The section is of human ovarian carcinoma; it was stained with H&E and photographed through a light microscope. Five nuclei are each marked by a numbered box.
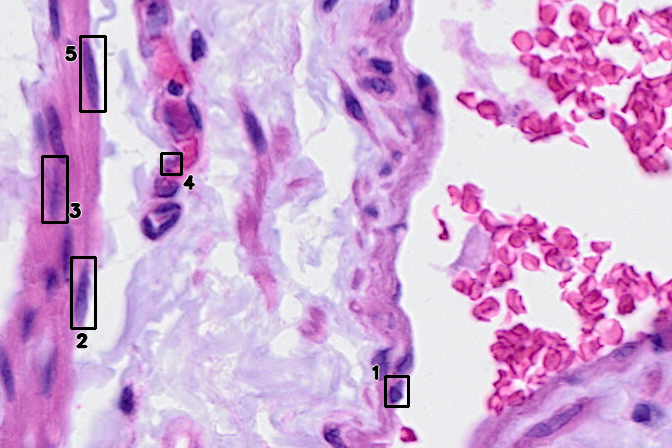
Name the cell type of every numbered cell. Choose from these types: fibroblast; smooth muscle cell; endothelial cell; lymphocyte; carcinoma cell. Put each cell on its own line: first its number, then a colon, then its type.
1: endothelial cell
2: smooth muscle cell
3: smooth muscle cell
4: endothelial cell
5: smooth muscle cell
